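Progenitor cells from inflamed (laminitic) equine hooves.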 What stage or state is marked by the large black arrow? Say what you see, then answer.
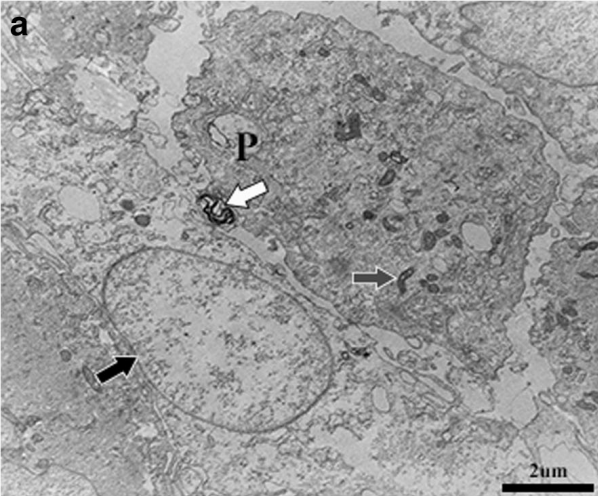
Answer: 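Nonviable cells. The arrow points at a cell whose nucleus and cytoplasm are very pale and empty-looking. The neighbouring cell to the upper right has dense cytoplasm full of organelles.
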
